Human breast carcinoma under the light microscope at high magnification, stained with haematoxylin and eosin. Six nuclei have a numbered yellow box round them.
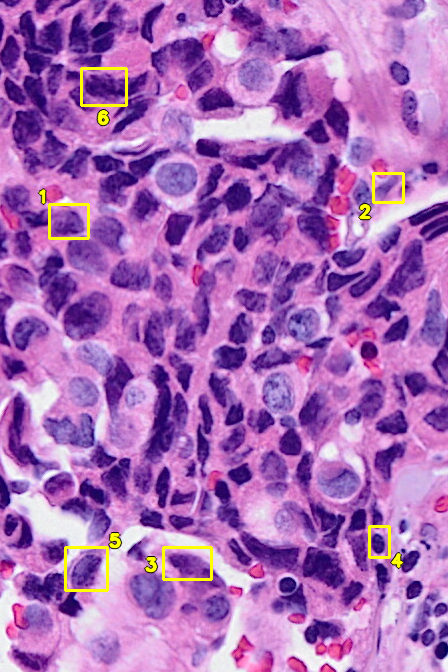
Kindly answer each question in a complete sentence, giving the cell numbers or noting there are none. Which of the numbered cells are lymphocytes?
It is cell 4, and no other numbered cell, that is a lymphocyte.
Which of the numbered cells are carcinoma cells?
Cells that were given the numbers 1, 3, 5 and 6 are carcinoma cells.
